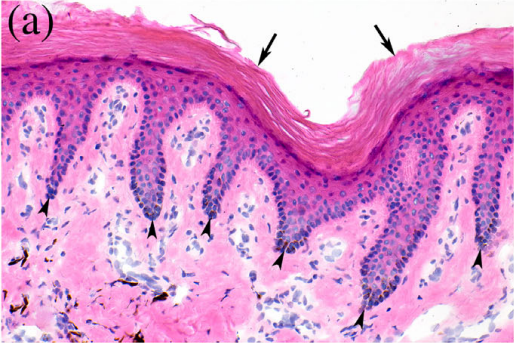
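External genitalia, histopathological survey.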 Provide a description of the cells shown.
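The epithelium sends long, narrow squamous papillae down into the pale pink connective tissue beneath. The basal cells at the tips of these projections are darker, and brown pigment lies at the base of the epithelium and in the underlying connective tissue. Small vessels and loose fibres lie between the projections.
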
